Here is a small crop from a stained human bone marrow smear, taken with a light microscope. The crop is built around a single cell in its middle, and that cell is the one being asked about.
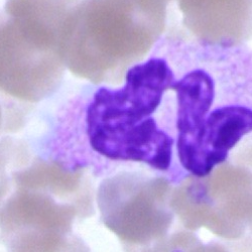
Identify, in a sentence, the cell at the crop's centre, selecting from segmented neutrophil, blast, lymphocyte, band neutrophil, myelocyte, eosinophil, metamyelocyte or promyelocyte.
The cell nearest the centre of this crop is a segmented neutrophil.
